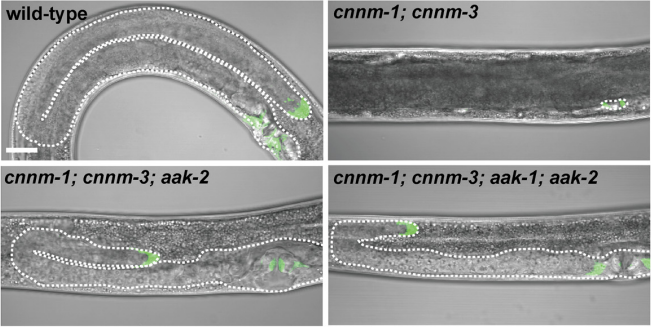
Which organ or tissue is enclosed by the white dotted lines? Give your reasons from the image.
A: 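White dotted lines enclose an elongated tube-shaped structure inside the worm body in three images. In one image the dotted line encloses only a very small region next to the green fluorescence.
Conclusion: gonad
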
